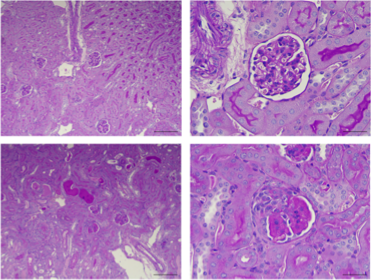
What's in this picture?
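At higher power a glomerulus sits in the centre as a rounded tuft of capillary loops inside Bowman's capsule, ringed by tubules of cuboidal epithelium. In the lower row the tubules look more irregular, some holding dense magenta material in their lumens, and the glomerular tuft appears smaller and more disordered within its capsule.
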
